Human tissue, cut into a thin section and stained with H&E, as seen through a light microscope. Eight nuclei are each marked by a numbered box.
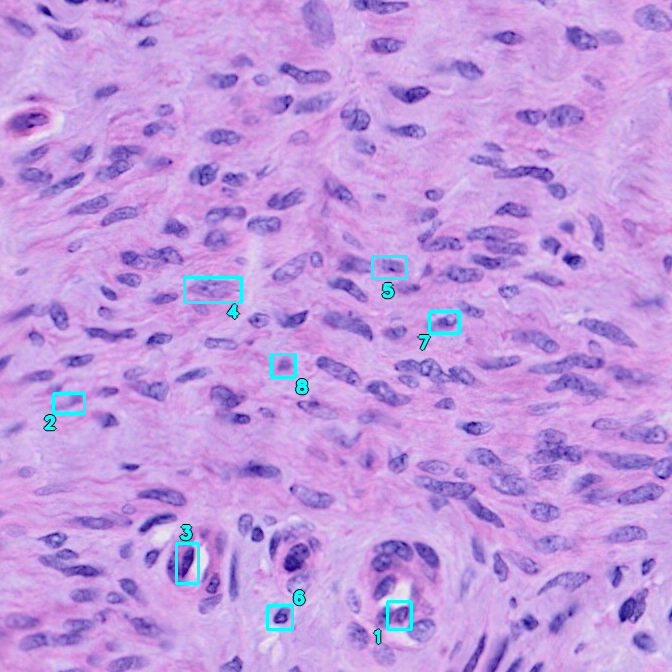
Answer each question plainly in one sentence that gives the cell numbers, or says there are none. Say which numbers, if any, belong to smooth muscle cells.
The cells with the numbers 2, 4, 5, 7 and 8 are smooth muscle cells.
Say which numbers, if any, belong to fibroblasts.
Among the numbered cells, the one that is a fibroblast is cell 6 alone.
